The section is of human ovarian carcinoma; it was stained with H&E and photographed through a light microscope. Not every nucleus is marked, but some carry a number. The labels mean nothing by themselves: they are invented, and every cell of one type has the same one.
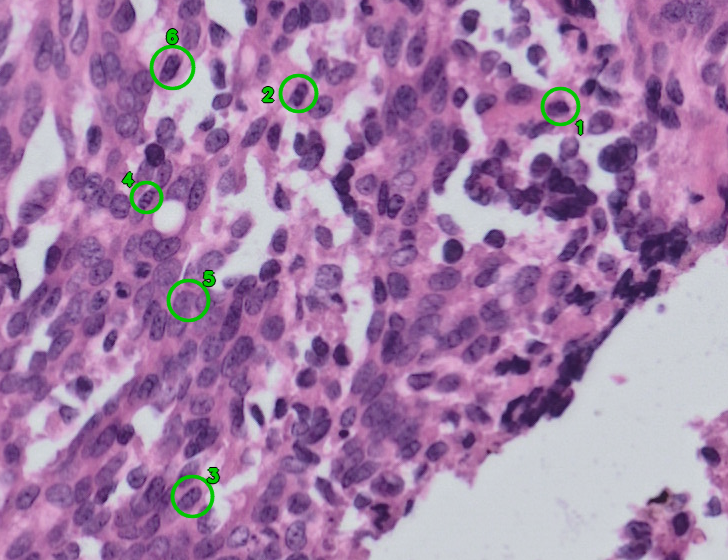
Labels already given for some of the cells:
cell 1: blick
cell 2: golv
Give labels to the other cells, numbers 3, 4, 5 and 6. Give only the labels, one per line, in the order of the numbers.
golv
blick
blick
golv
